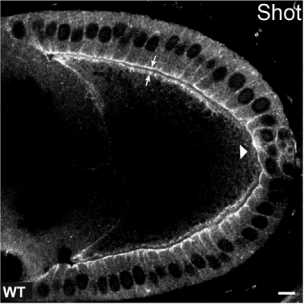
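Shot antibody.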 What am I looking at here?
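This is the oocyte end of an egg chamber, with the large oocyte covered by a single layer of epithelial follicle cells. The follicle cells are tall and columnar over the oocyte, each with a dark, unstained oval nucleus, and their surfaces facing the oocyte are brightly labelled. A bright line also runs along the boundary between the follicle layer and the oocyte on the lateral sides, while the oocyte cytoplasm itself is dim.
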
